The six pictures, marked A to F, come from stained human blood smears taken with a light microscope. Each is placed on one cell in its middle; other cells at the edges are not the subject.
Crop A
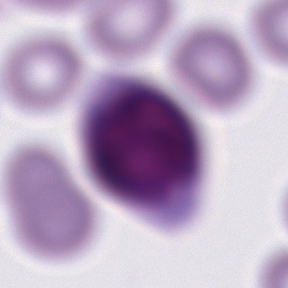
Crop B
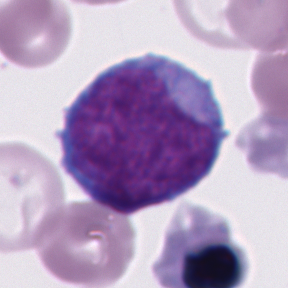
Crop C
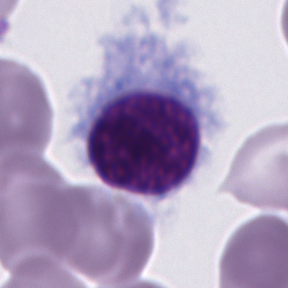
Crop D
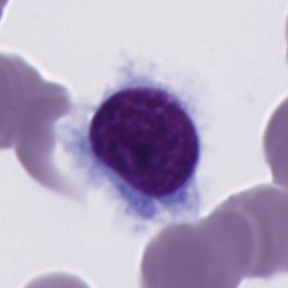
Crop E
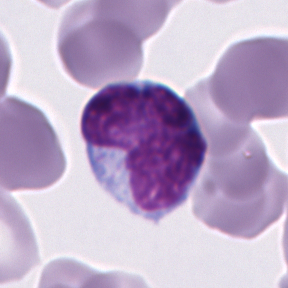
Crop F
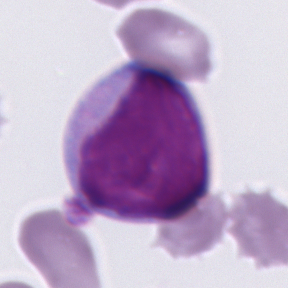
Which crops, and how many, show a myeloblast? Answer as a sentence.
Of the crops presented, A, B and F show myeloblasts, a total of three.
